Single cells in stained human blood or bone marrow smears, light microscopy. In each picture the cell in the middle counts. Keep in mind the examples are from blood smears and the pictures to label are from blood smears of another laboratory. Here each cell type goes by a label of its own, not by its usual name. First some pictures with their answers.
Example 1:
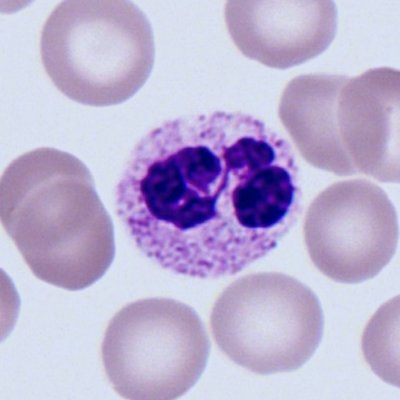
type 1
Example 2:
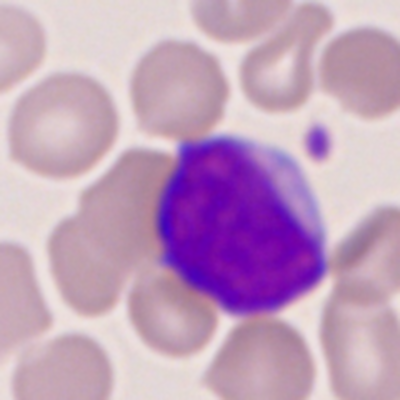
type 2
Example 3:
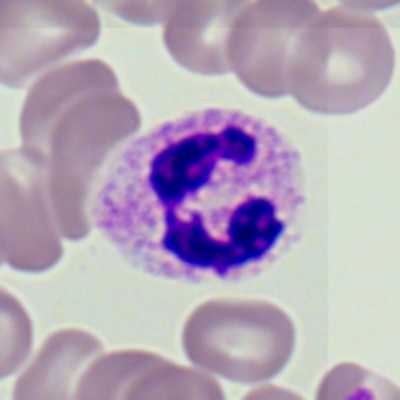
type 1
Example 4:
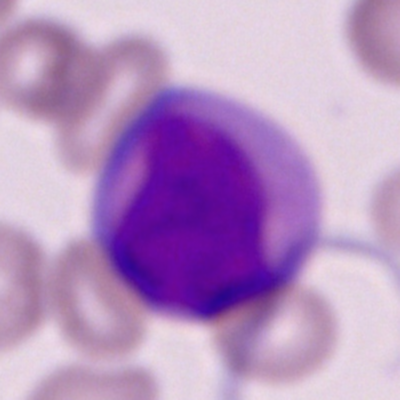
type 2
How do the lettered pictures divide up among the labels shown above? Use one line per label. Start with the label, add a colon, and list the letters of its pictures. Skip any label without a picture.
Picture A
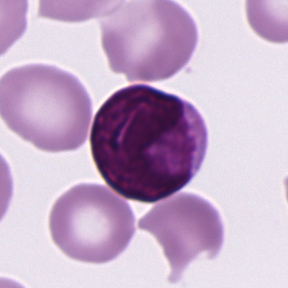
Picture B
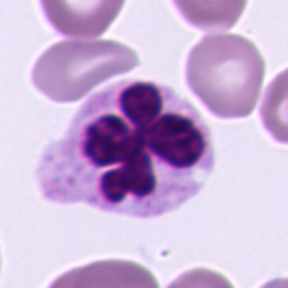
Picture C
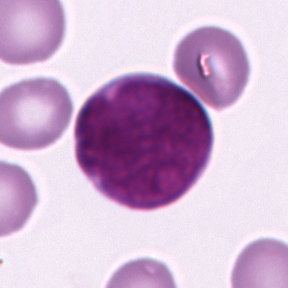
type 1: B
type 2: A, C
